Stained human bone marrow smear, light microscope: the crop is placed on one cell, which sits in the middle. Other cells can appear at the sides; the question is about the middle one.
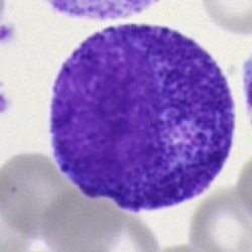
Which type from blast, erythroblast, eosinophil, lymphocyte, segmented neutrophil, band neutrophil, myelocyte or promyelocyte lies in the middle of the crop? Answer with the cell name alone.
promyelocyte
